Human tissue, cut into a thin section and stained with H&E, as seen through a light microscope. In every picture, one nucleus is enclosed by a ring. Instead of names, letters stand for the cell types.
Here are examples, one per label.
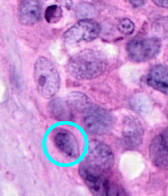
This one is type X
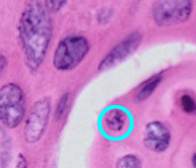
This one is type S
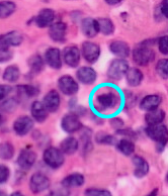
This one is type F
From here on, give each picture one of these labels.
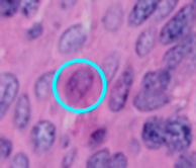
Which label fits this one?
type S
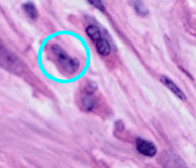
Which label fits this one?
type X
